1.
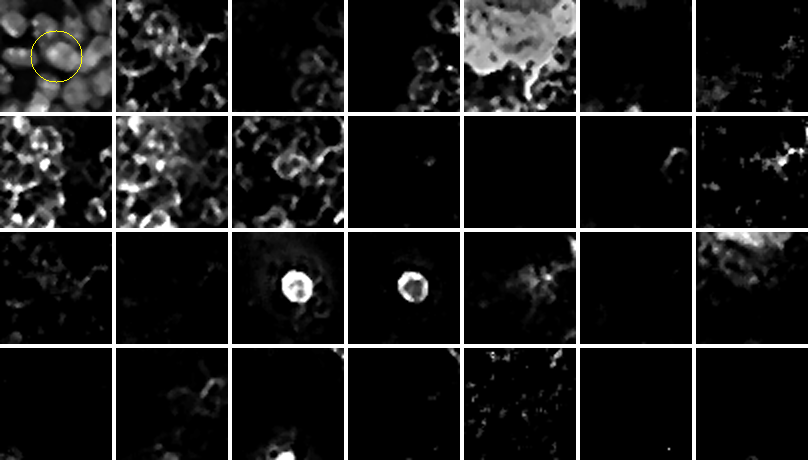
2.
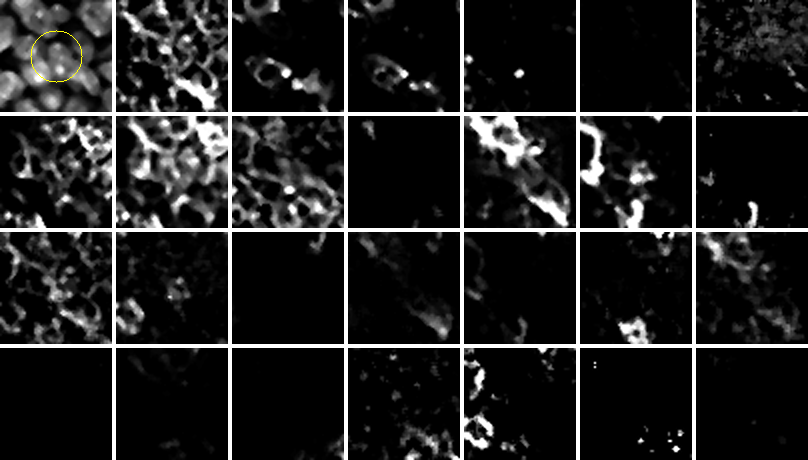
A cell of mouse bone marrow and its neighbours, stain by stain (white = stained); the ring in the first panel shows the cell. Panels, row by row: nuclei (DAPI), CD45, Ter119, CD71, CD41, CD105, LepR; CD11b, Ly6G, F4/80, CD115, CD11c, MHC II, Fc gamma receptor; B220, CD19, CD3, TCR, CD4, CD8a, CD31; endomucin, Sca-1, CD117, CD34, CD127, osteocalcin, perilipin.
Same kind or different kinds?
Different: the first is a double-negative T cell, the second a conventional dendritic cell.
